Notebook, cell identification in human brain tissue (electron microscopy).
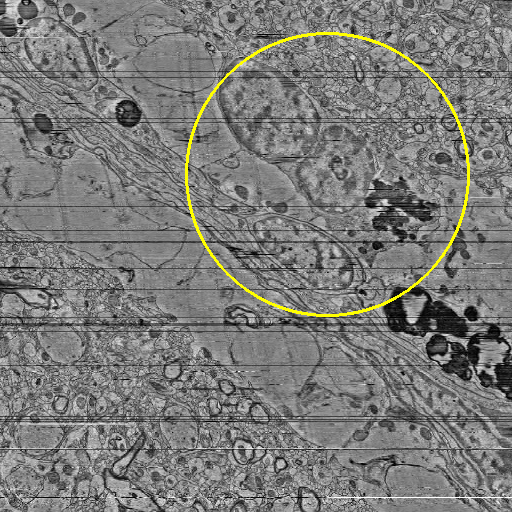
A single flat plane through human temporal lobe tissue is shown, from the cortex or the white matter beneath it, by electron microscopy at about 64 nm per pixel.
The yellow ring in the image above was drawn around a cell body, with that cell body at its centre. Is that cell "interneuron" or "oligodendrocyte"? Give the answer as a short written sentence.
The cell in the ring is an oligodendrocyte.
